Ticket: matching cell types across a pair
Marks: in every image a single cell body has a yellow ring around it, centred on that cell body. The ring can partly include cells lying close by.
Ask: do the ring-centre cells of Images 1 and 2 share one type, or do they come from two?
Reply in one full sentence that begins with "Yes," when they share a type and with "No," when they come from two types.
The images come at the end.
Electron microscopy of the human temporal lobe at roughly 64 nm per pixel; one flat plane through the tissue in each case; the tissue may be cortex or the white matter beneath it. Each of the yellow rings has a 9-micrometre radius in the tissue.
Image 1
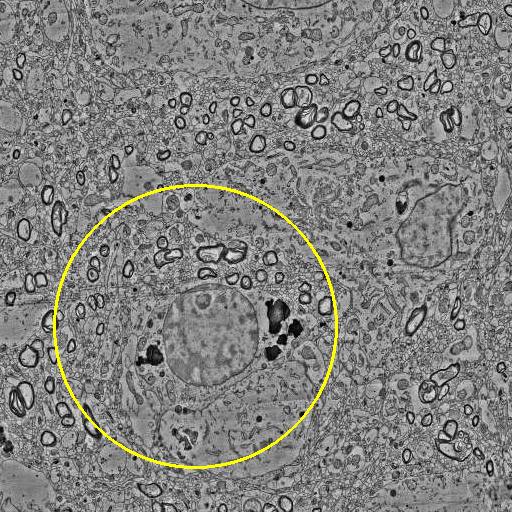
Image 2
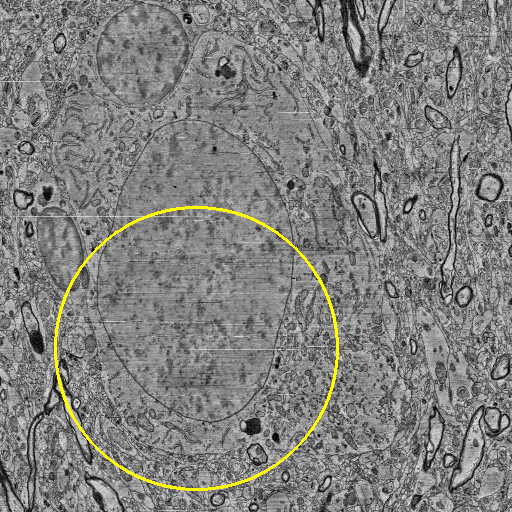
No, the cells in the centres of the rings in Image 1 and Image 2 come from two types.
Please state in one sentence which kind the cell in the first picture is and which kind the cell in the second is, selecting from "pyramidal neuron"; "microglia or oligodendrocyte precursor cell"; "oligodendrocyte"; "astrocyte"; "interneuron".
The first ringed cell is an oligodendrocyte, the second ringed cell a pyramidal neuron.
